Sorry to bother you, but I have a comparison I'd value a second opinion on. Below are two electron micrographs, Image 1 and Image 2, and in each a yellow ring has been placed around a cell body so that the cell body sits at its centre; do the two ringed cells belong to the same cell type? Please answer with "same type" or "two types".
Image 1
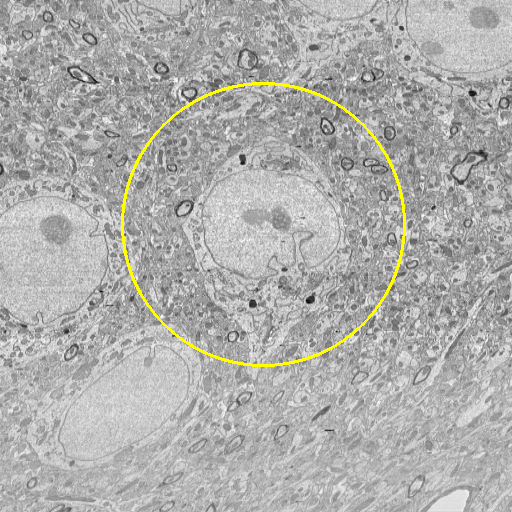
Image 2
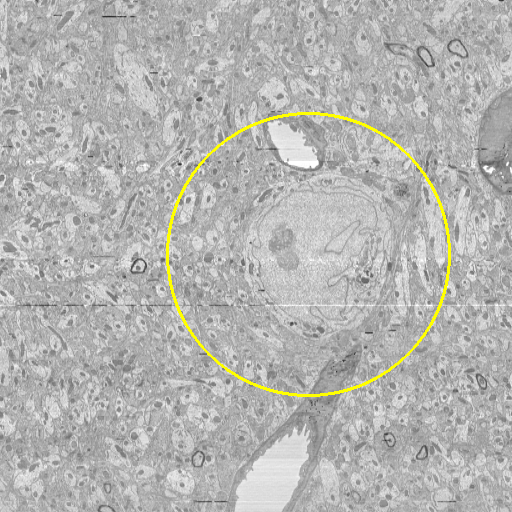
same type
